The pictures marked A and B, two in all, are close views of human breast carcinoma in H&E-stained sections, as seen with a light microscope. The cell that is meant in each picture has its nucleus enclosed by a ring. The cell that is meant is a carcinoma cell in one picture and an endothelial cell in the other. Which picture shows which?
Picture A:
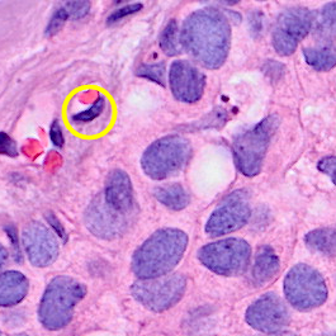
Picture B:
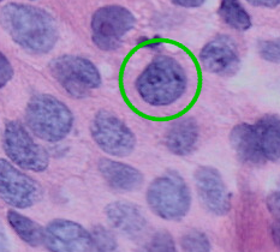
A: endothelial cell
B: carcinoma cell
